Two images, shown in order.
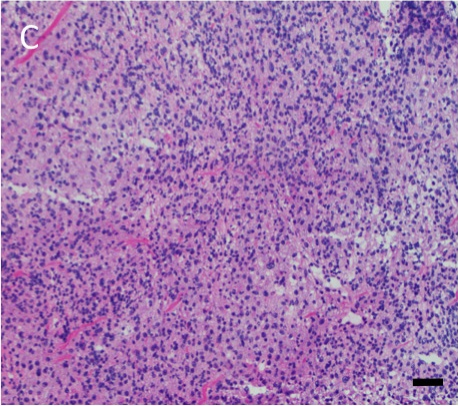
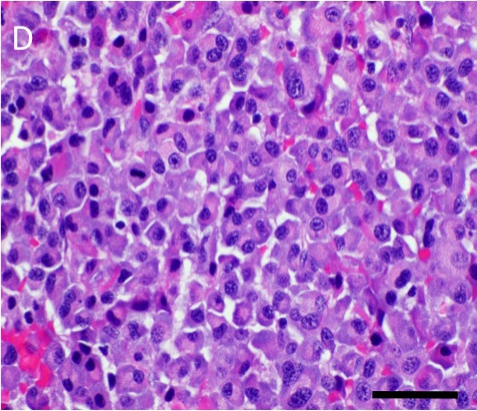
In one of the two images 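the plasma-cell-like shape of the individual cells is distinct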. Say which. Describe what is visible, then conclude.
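Second image: individual cells are crisp, with clear borders, eccentric nuclei and ample cytoplasm.
The second image.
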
